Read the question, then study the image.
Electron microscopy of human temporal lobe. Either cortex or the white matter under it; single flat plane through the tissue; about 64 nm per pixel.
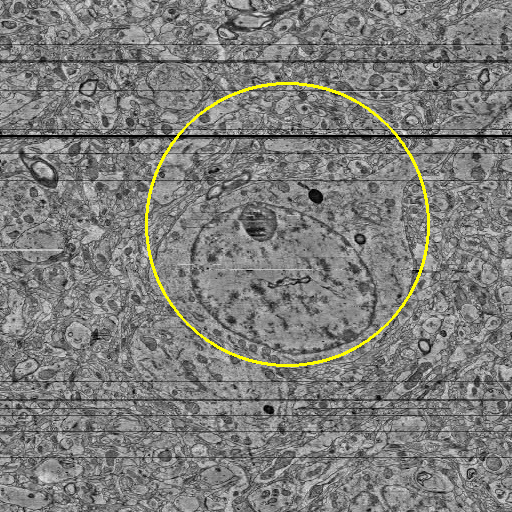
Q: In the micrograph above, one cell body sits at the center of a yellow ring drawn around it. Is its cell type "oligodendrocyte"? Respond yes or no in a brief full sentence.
No, its cell type is another one.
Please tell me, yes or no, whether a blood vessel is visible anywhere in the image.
No, there is no blood vessel.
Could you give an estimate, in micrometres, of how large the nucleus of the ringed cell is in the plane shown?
In this plane the nucleus is about 12 micrometres by 9.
